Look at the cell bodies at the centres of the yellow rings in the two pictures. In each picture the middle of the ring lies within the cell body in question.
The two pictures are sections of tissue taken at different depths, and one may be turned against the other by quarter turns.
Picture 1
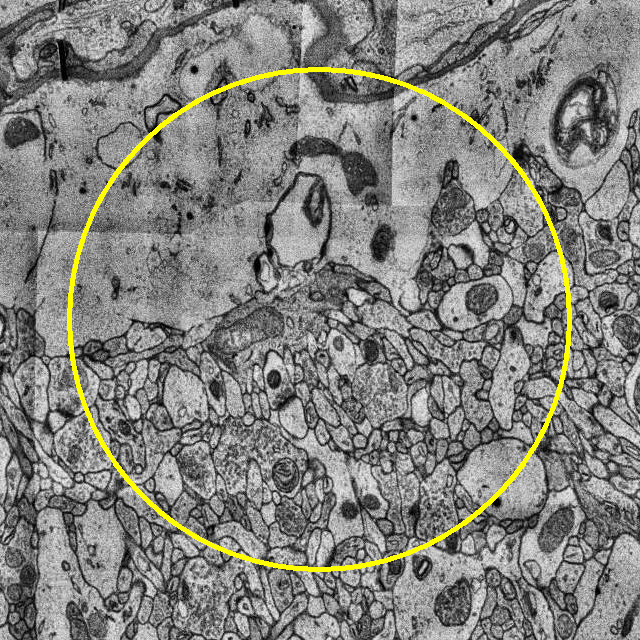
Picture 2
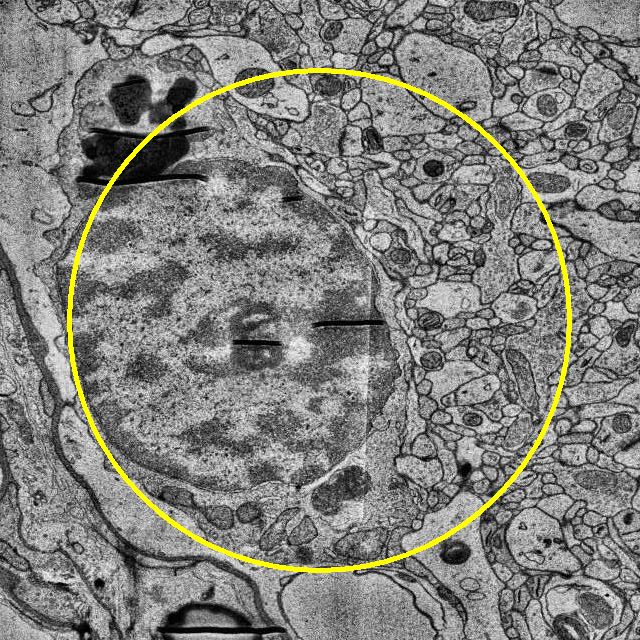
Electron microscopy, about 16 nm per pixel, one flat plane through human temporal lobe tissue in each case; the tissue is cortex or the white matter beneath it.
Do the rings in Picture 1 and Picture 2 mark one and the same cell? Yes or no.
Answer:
yes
